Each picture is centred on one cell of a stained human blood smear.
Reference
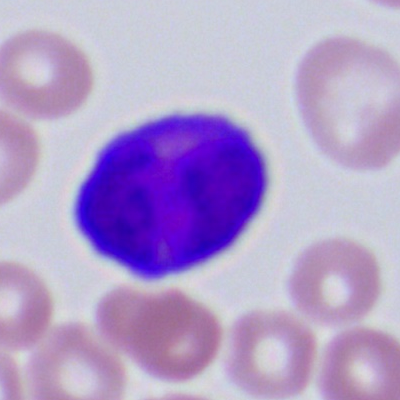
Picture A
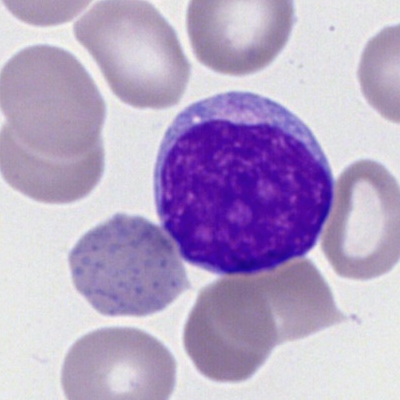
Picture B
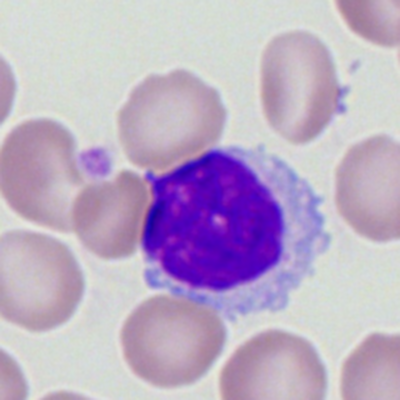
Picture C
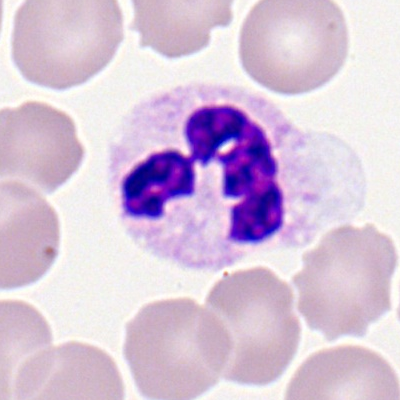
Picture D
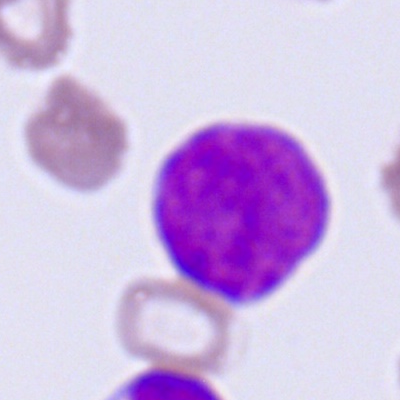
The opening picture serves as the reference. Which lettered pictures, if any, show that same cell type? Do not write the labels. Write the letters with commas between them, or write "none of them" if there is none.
A, D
